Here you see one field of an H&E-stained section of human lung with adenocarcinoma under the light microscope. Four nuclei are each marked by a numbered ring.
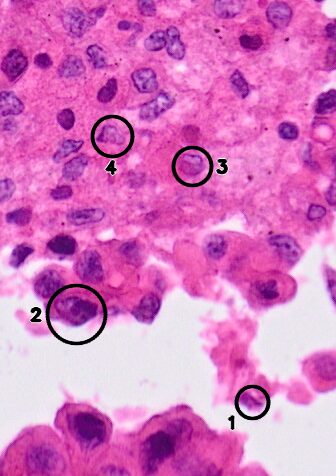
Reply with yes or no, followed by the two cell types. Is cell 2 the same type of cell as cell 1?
No, that does not hold; cell 2 is a carcinoma cell and cell 1 is a macrophage or monocyte.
